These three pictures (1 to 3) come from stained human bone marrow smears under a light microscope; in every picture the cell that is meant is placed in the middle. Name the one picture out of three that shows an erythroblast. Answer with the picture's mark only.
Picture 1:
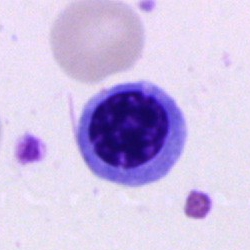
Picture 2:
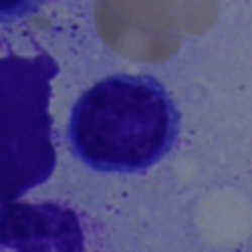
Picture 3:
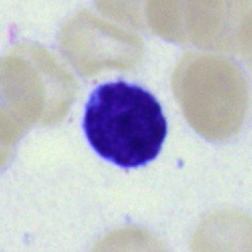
1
